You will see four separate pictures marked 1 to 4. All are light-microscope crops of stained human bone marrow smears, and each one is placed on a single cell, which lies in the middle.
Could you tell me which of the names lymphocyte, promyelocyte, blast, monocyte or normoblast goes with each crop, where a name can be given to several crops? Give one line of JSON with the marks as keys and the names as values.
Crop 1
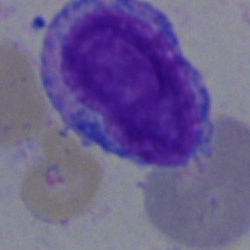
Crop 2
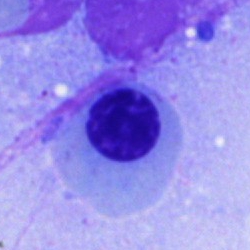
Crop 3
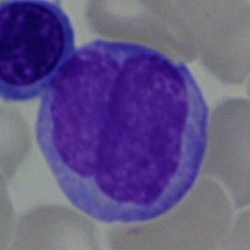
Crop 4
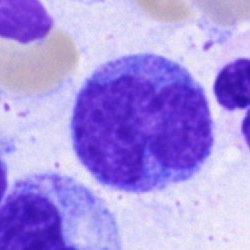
{"1": "blast", "2": "normoblast", "3": "monocyte", "4": "monocyte"}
